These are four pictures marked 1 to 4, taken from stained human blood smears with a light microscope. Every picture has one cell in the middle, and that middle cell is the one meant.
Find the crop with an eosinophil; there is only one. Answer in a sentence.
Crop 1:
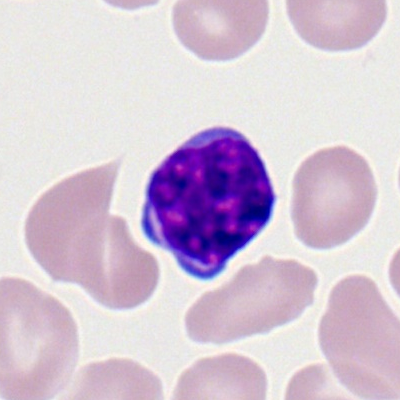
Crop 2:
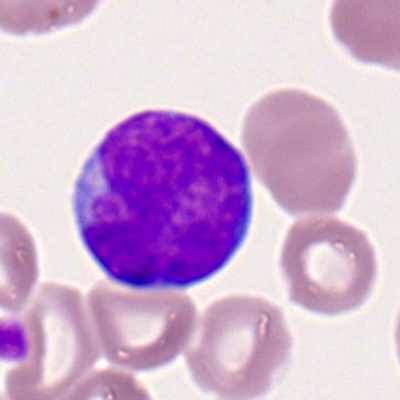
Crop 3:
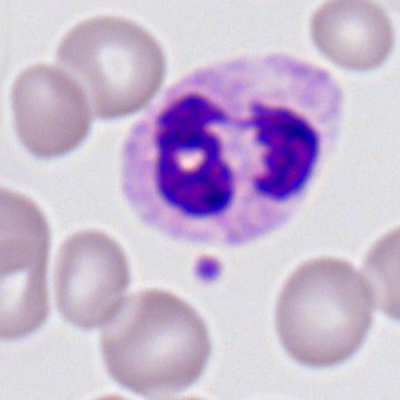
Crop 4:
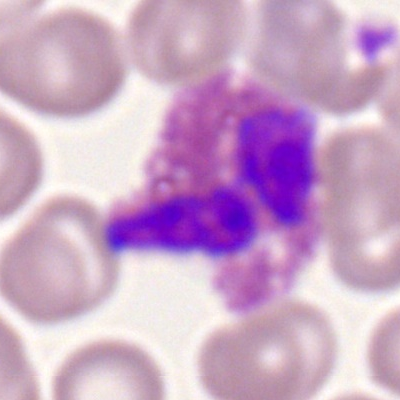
Crop 4 is the crop whose central cell is an eosinophil.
